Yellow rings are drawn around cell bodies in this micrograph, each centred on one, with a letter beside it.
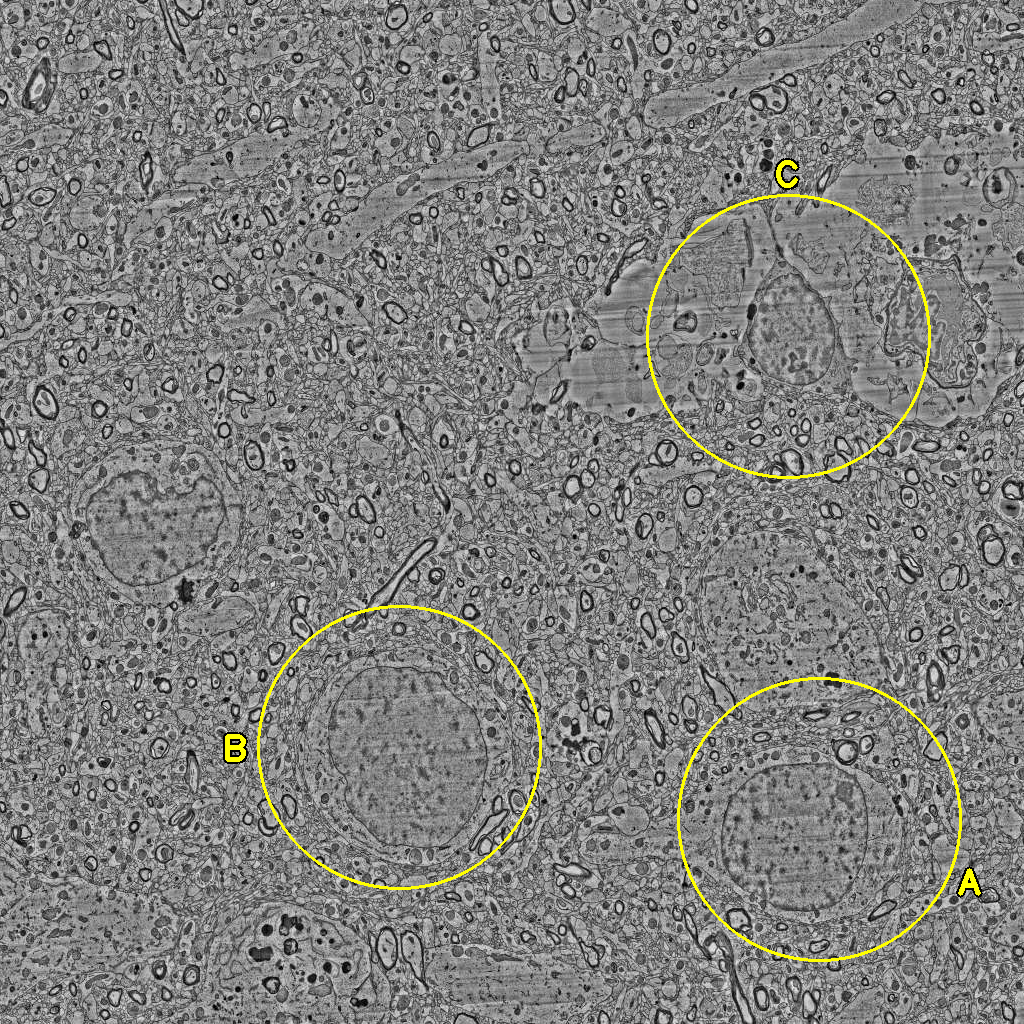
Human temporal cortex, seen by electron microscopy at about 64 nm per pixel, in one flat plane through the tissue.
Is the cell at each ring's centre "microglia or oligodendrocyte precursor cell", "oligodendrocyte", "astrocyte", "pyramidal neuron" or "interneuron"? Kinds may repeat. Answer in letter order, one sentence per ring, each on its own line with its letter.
In ring A, the cell at the centre is an interneuron.
In ring B, the cell at the centre is a pyramidal neuron.
In ring C, the cell at the centre is an oligodendrocyte.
